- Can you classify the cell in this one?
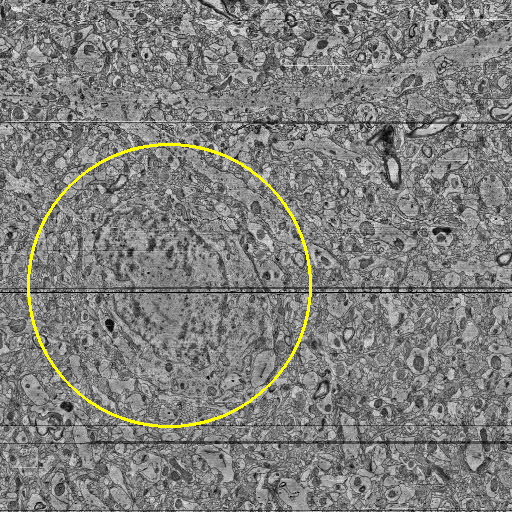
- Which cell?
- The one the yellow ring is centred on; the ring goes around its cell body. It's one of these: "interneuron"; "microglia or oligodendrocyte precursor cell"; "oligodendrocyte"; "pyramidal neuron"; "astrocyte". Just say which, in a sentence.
The cell body in the ring belongs to an interneuron.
